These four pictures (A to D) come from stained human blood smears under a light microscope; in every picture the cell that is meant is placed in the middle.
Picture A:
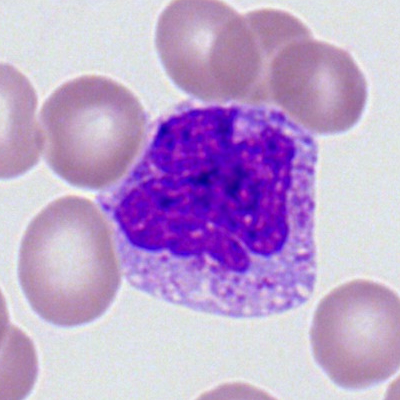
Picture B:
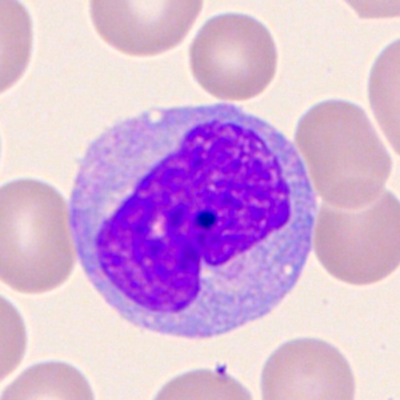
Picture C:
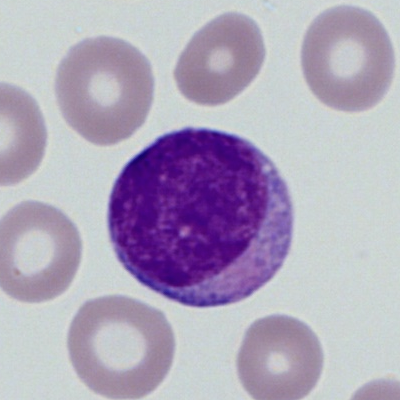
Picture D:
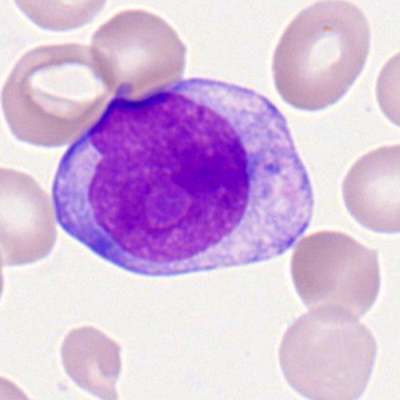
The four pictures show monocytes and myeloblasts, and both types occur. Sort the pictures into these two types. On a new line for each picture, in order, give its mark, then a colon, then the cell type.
A: monocyte
B: monocyte
C: myeloblast
D: myeloblast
